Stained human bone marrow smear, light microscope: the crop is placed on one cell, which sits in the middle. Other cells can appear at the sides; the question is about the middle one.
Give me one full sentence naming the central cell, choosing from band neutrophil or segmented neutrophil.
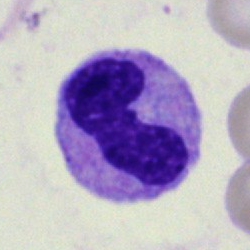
In the central position of this crop, the cell is a band neutrophil.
